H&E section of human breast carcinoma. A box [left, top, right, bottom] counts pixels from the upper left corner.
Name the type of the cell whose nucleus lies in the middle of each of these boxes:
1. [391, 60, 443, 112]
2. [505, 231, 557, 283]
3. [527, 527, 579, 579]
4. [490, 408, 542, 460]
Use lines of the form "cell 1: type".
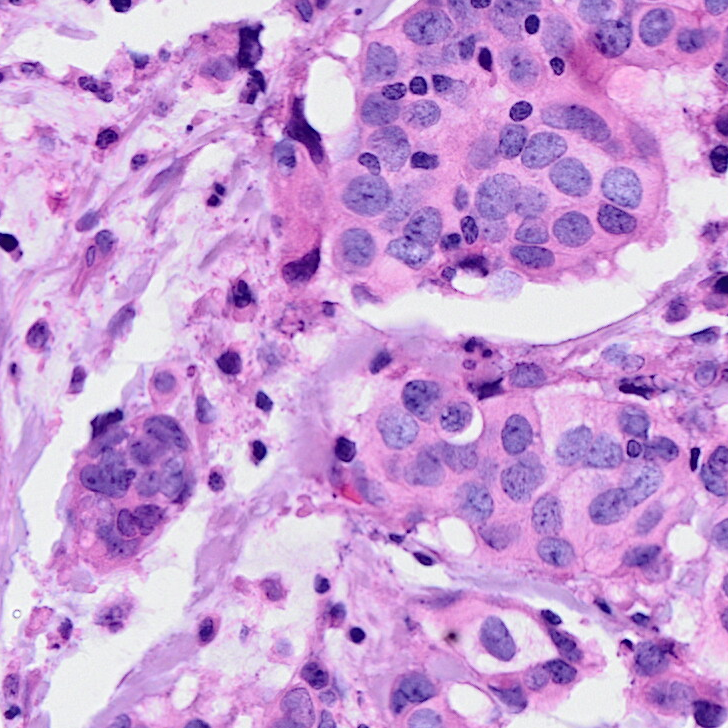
cell 1: lymphocyte
cell 2: carcinoma cell
cell 3: carcinoma cell
cell 4: carcinoma cell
